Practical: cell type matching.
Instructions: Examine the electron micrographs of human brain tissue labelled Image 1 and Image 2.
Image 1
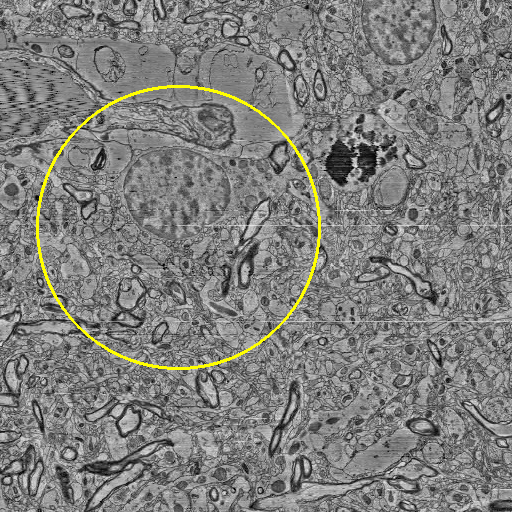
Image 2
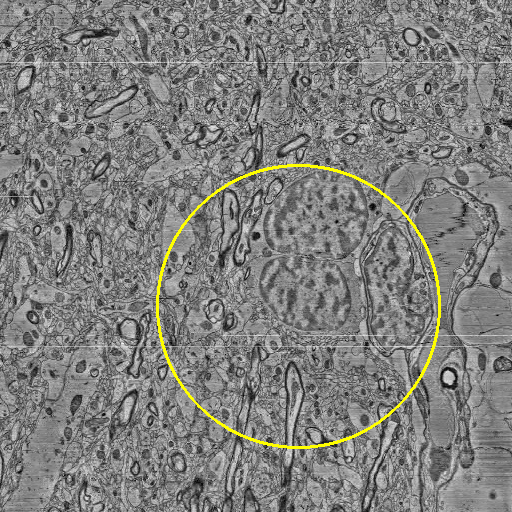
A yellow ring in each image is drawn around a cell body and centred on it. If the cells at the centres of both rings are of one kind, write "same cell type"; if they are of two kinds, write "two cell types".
same cell type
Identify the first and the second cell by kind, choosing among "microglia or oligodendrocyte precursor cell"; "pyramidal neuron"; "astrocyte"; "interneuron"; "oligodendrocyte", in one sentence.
In each of the two pictures, the ringed cell is an oligodendrocyte.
